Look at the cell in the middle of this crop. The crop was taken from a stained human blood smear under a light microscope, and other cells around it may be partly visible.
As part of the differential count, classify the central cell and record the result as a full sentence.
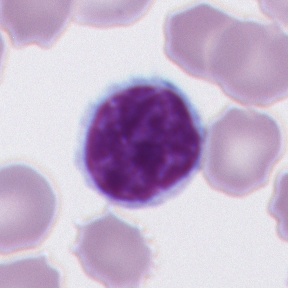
The central element of this crop is a cell, namely a lymphocyte.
